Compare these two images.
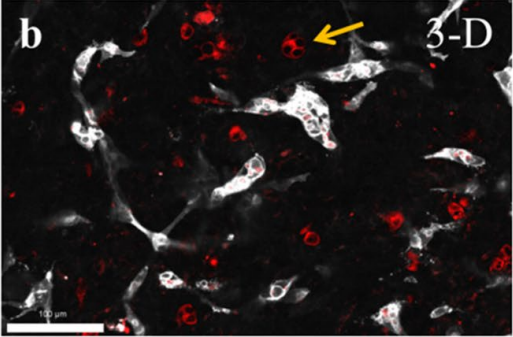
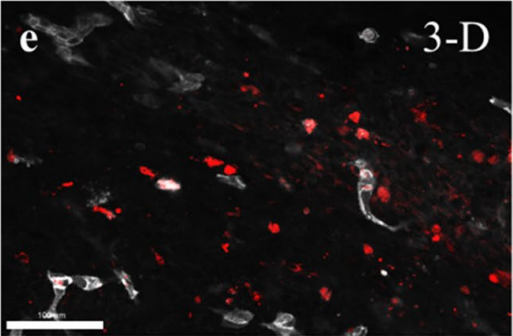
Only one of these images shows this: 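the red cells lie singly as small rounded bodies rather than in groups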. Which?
the second image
